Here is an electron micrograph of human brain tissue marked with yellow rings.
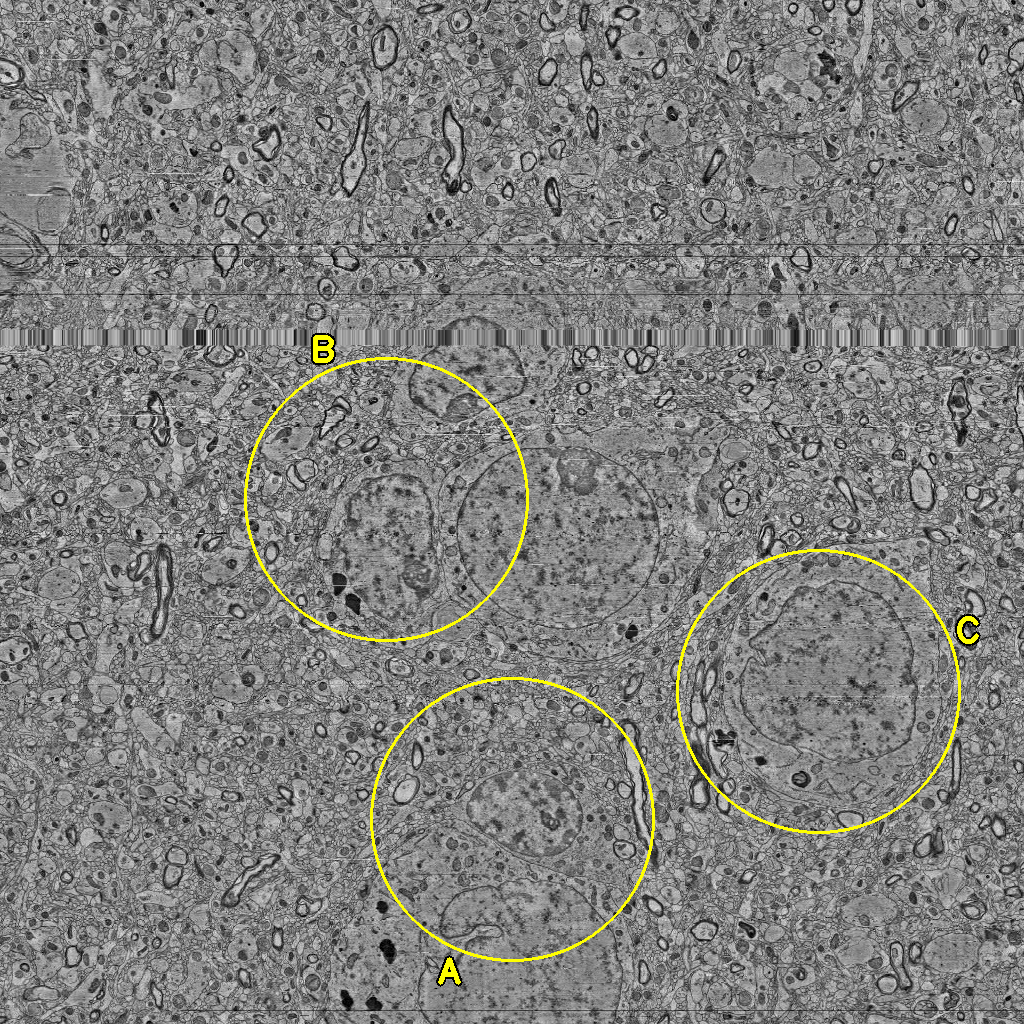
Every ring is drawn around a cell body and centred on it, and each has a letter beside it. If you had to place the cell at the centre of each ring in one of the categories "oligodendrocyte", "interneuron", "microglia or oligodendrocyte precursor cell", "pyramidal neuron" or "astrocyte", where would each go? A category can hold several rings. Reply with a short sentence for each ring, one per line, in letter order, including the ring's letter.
The centre of ring A holds an oligodendrocyte.
The centre of ring B holds an interneuron.
The centre of ring C holds a pyramidal neuron.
